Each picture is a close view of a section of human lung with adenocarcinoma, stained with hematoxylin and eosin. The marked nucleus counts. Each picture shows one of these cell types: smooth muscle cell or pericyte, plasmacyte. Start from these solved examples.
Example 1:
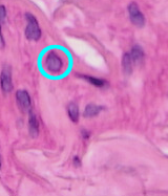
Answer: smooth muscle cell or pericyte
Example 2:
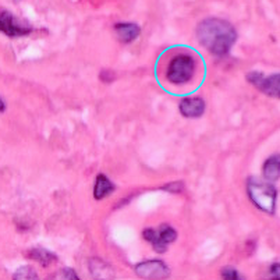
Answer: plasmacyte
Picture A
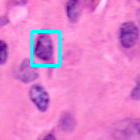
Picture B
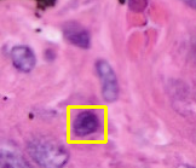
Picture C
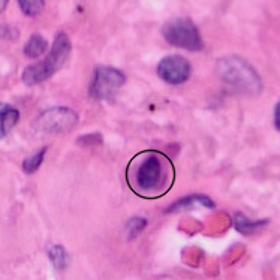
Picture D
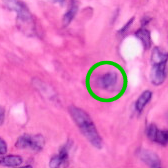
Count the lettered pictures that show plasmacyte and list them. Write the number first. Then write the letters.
3: A, B, C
